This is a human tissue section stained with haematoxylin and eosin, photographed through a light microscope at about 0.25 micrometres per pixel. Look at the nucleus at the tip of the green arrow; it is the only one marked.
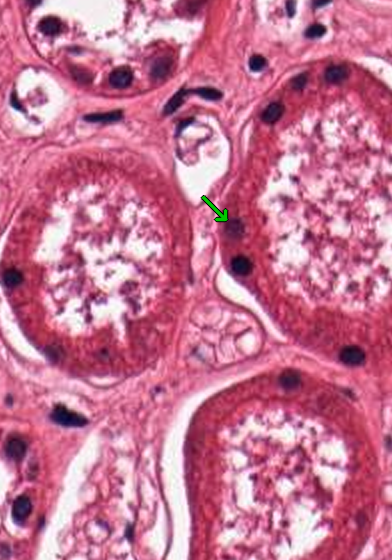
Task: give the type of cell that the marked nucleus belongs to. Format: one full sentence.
The marked nucleus belongs to a proximal tubule cell.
